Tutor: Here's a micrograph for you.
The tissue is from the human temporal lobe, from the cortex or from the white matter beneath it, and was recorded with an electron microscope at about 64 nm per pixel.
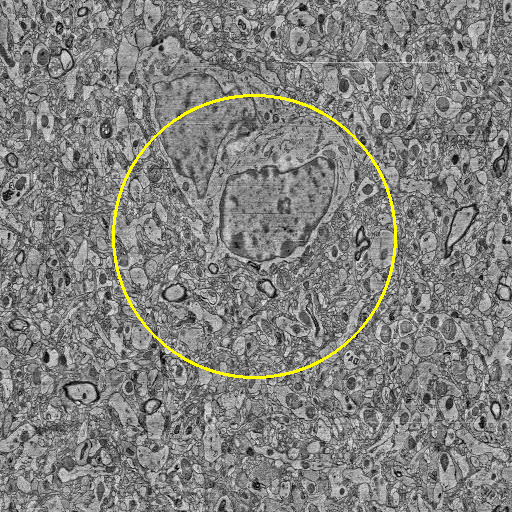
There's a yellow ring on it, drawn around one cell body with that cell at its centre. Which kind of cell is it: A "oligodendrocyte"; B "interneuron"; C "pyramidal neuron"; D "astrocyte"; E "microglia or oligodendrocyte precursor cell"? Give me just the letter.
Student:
E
